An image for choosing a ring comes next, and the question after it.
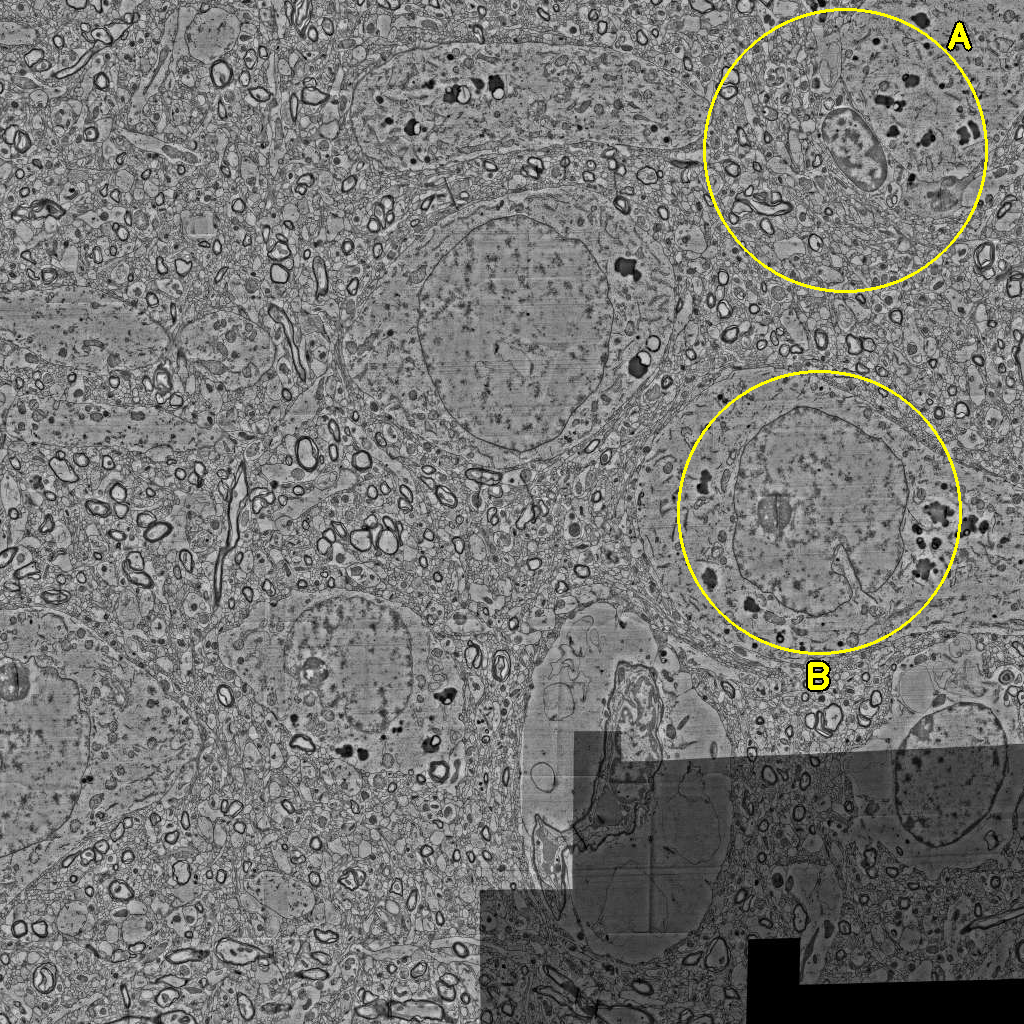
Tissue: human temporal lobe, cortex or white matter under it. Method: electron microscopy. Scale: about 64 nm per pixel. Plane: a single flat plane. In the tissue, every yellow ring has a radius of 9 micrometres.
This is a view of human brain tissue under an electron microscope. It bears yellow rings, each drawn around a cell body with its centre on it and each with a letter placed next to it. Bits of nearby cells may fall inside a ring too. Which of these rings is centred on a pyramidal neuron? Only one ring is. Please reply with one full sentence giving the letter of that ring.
Of all the lettered rings, B is the one centred on a cell of that kind.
